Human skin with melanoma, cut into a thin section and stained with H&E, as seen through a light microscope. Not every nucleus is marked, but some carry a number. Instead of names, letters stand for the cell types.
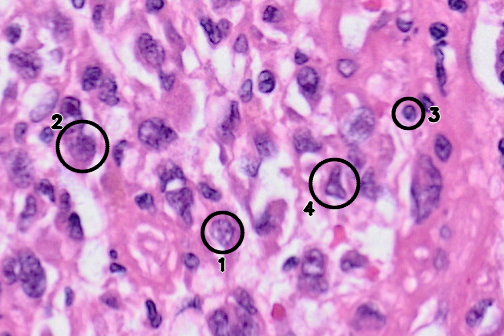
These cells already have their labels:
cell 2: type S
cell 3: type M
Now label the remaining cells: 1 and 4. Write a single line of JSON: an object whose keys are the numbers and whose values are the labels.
{"1": "type S", "4": "type S"}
